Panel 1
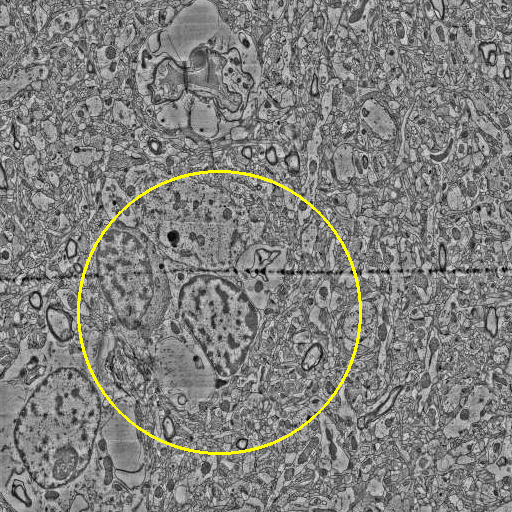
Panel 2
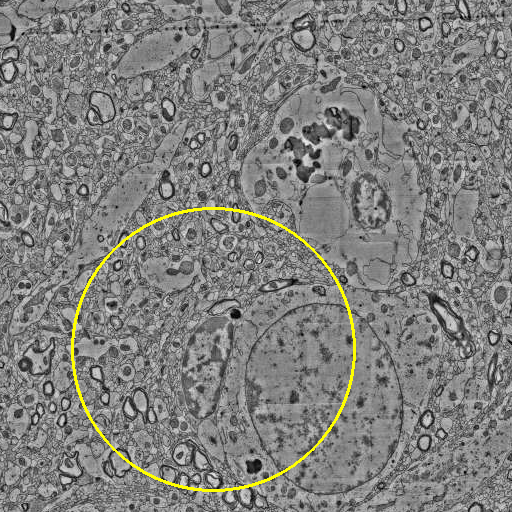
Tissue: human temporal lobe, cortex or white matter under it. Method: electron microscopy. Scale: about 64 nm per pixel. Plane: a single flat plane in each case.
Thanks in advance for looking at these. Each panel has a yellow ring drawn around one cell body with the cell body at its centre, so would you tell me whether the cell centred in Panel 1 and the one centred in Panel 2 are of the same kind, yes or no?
yes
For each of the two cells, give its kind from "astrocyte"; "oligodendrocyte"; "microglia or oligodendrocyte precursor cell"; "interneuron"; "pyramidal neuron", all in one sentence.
Each one of the two ringed cells is a microglial cell or oligodendrocyte precursor cell.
